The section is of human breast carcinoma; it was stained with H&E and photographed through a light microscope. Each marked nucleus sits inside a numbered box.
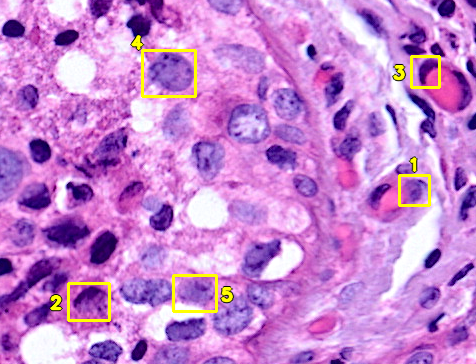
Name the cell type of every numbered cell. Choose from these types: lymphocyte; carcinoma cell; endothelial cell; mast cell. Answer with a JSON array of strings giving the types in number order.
["endothelial cell", "carcinoma cell", "endothelial cell", "carcinoma cell", "carcinoma cell"]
